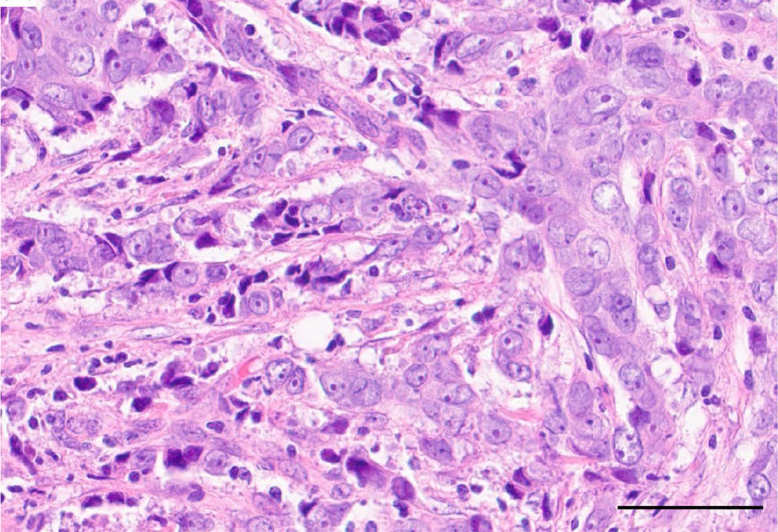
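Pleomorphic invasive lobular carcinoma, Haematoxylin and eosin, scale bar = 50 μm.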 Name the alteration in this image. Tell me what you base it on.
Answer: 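Prominent dark stained smudged nuclei. Scattered nuclei are deep purple and featureless. These dark nuclei are irregular and lack chromatin detail.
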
